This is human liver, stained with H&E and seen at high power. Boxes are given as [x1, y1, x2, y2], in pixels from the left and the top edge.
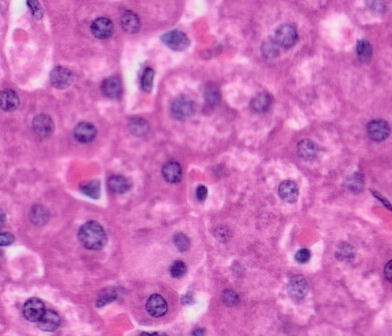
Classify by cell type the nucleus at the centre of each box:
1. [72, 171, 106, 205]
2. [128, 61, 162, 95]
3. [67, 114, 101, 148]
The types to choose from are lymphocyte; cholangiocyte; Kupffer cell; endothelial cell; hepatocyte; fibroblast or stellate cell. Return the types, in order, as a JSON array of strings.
["endothelial cell", "Kupffer cell", "hepatocyte"]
